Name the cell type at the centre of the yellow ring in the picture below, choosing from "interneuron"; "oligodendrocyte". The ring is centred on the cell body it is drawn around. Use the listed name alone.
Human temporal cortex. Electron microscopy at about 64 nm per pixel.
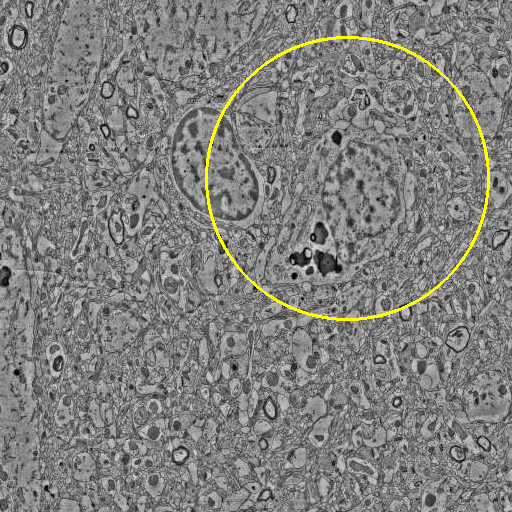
interneuron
